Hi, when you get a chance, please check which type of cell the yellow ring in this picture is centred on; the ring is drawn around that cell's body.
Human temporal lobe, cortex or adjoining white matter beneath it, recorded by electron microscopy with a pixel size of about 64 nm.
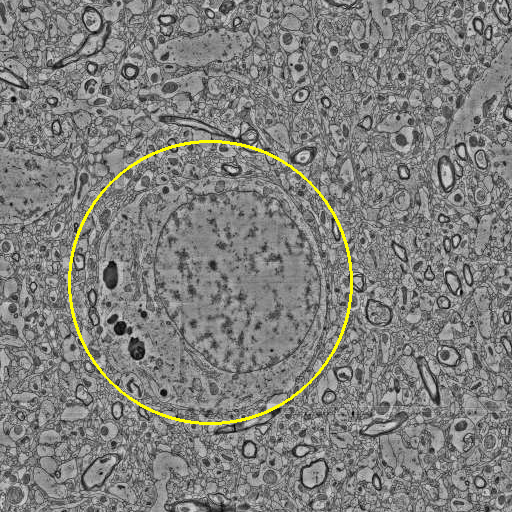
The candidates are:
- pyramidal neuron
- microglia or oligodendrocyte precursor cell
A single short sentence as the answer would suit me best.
The ring is drawn around the body of a pyramidal neuron.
